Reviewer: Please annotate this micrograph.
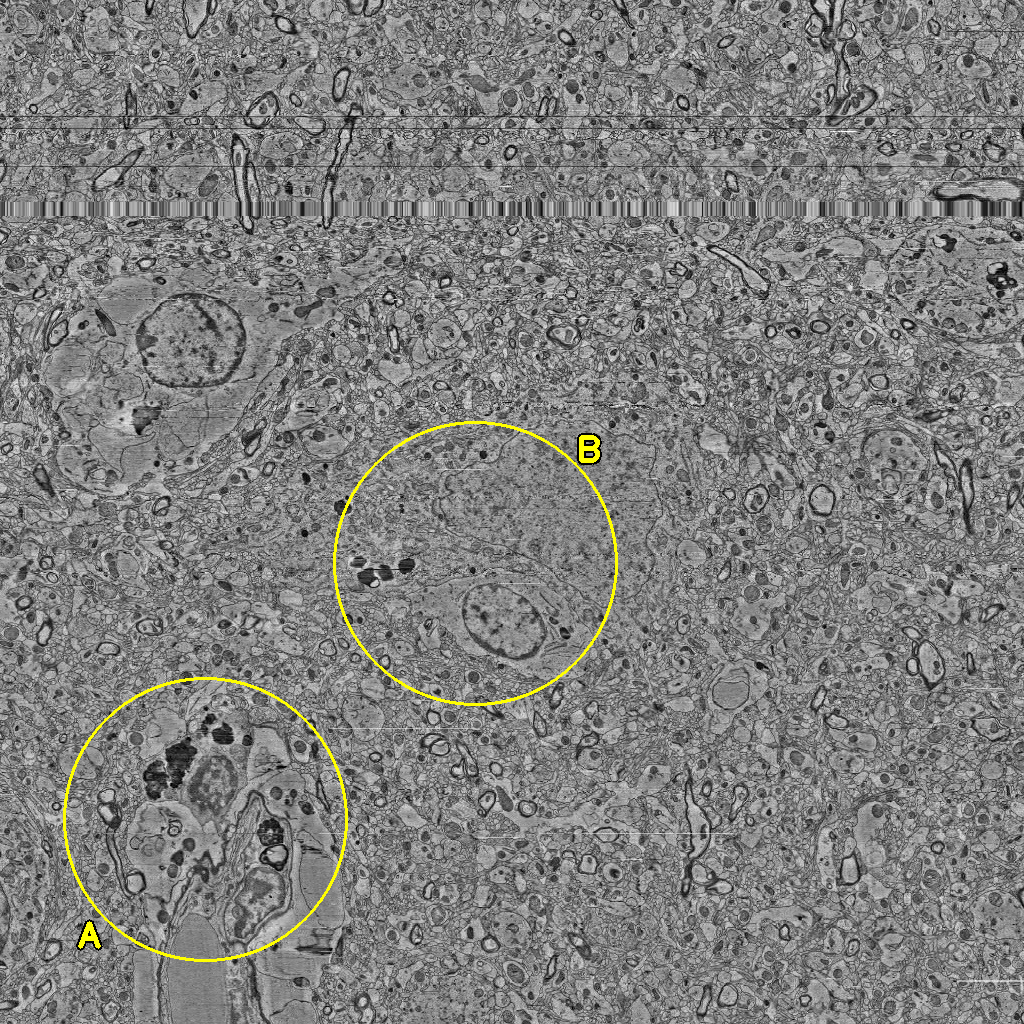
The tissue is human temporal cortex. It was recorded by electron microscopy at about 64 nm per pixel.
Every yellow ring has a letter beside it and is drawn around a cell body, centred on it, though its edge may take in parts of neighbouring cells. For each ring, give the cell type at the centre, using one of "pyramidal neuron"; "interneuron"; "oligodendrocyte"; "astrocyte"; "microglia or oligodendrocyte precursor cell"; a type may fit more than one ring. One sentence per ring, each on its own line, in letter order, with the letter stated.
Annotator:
The cell in the middle of ring A is an oligodendrocyte.
The cell in the middle of ring B is a pyramidal neuron.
